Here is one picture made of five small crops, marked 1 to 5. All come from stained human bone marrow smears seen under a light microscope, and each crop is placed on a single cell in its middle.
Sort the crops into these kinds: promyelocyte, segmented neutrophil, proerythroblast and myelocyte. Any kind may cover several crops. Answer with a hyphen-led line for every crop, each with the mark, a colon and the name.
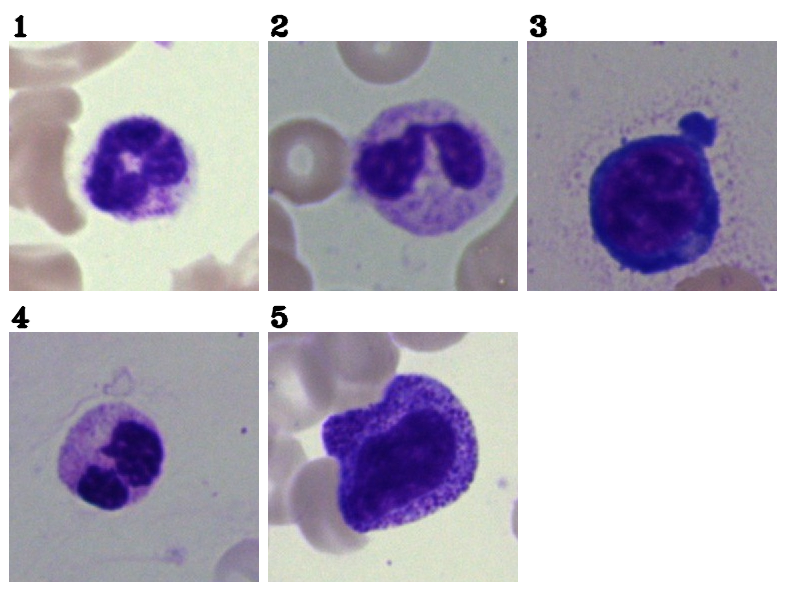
- 1: segmented neutrophil
- 2: segmented neutrophil
- 3: proerythroblast
- 4: segmented neutrophil
- 5: promyelocyte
